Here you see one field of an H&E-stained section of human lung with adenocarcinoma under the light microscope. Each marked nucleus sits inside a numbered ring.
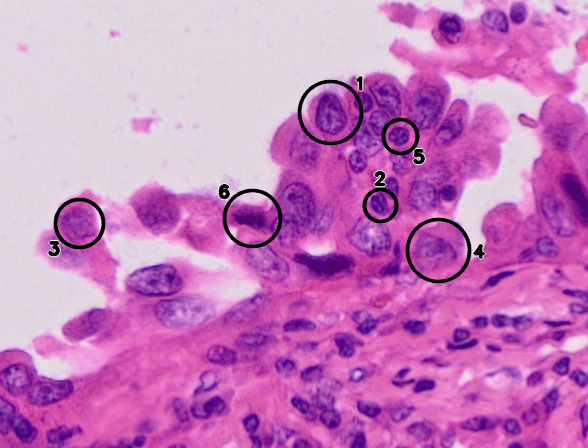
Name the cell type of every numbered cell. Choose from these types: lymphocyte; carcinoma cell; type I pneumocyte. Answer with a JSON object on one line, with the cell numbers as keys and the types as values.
{"1": "carcinoma cell", "2": "lymphocyte", "3": "carcinoma cell", "4": "carcinoma cell", "5": "lymphocyte", "6": "carcinoma cell"}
